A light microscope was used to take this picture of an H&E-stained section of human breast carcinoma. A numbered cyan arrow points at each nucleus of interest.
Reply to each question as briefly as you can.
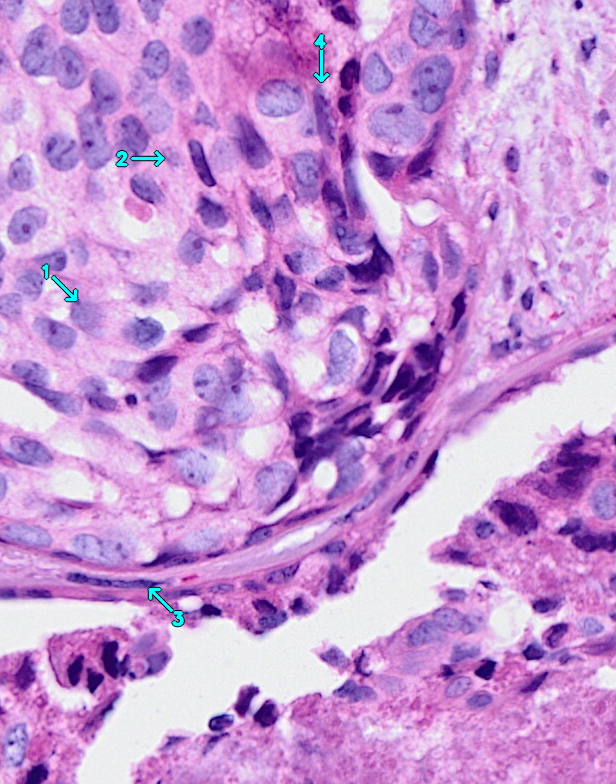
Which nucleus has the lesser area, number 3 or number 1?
3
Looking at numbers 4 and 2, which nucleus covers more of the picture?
4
